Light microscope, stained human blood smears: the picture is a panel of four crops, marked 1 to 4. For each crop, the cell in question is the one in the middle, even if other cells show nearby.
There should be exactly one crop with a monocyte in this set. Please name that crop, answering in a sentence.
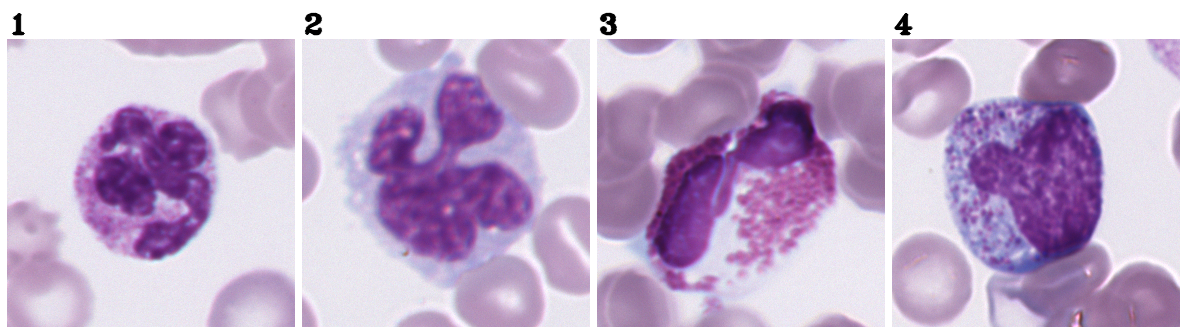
Crop 2 is where a monocyte is to be found.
